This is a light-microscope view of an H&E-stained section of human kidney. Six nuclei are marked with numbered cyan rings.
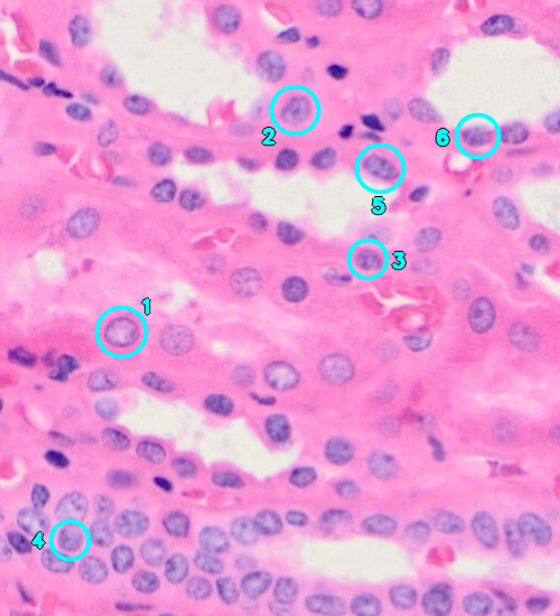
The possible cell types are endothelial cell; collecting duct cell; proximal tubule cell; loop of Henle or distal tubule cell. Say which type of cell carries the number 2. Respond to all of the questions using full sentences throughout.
The cell whose nucleus carries the number 2 is a loop of Henle or distal tubule cell.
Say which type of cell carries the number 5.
Recognised here as a loop of Henle or distal tubule cell is the cell numbered 5.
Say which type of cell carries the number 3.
Denoted by the label 3 in the section is a loop of Henle or distal tubule cell.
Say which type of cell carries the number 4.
The cell that goes by number 4 is a collecting duct cell.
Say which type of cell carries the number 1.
As for number 1, that cell is a proximal tubule cell.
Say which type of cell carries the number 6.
Heads up, the cell numbered 6 is a loop of Henle or distal tubule cell.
